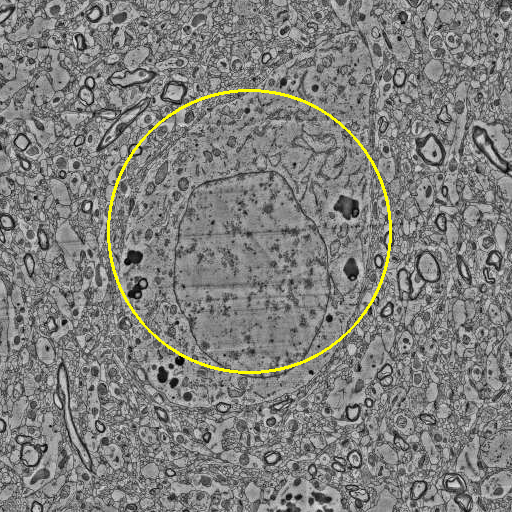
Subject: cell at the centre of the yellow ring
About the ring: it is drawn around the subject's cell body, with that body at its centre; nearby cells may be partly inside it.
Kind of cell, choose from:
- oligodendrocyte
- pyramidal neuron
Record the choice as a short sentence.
The subject cell is a pyramidal neuron.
